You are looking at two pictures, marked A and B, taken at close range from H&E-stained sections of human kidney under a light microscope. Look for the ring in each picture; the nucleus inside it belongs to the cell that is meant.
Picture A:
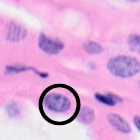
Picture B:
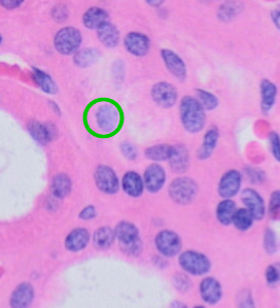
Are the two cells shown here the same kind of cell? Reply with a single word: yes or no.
no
